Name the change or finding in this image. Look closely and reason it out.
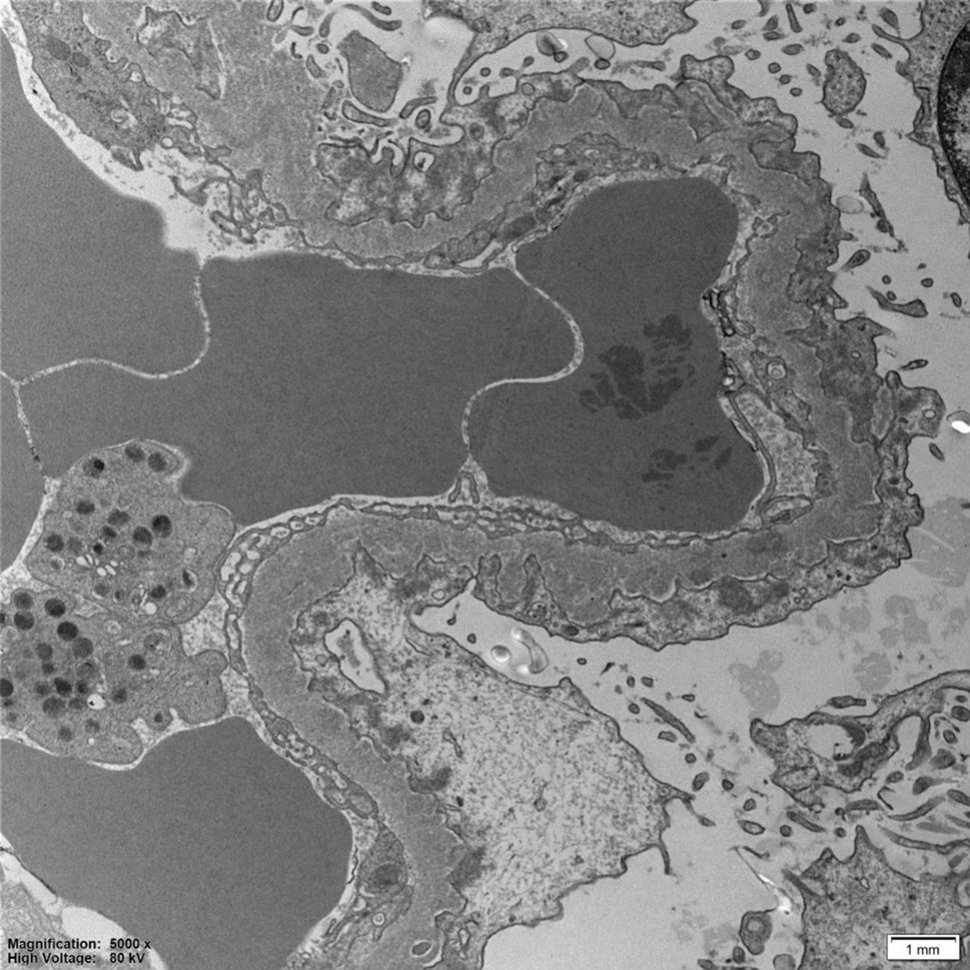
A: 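The epithelial cytoplasm spreads as a broad continuous layer over the capillary wall. Separate small foot processes along the basement membrane are scarcely seen.
Effacement of podocyte foot processes.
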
